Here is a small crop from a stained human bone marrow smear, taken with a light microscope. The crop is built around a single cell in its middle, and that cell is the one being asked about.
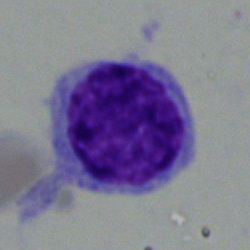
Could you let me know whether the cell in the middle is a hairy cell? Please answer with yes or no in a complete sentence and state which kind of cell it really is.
Yes, the middle cell in this crop is a hairy cell.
